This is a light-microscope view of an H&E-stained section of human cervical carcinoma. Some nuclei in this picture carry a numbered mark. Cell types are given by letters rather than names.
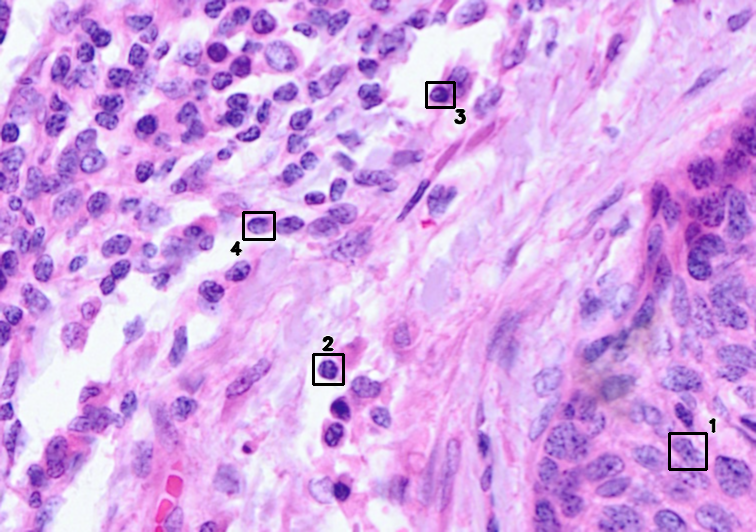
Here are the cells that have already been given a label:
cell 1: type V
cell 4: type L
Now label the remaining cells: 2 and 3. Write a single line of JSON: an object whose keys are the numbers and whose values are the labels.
{"2": "type L", "3": "type L"}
